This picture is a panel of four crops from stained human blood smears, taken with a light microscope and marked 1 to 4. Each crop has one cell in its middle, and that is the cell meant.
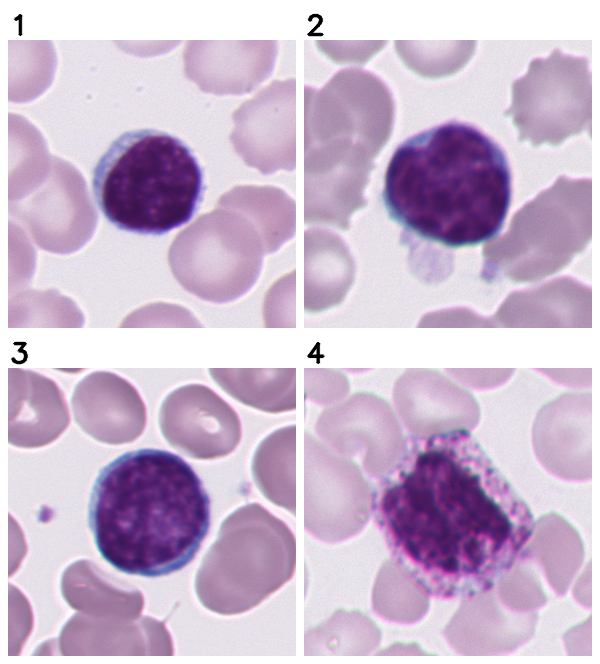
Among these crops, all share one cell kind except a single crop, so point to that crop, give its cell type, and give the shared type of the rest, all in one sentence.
Excluding crop 4, which is a basophil, the crops all show typical lymphocytes.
